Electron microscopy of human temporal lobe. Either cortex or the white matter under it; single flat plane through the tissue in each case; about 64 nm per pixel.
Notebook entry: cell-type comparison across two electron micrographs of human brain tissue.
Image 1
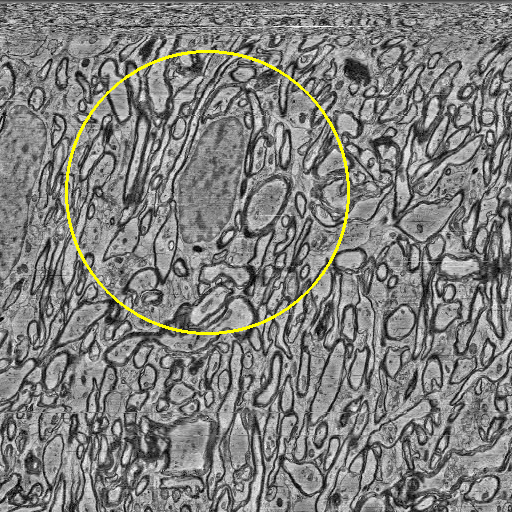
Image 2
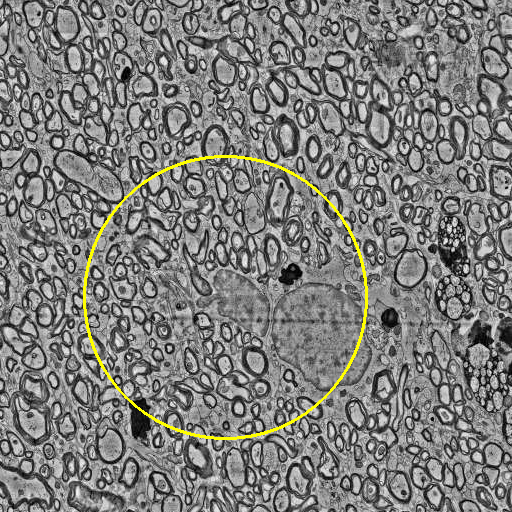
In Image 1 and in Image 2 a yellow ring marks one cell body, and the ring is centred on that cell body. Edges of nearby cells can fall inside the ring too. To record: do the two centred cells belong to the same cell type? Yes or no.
yes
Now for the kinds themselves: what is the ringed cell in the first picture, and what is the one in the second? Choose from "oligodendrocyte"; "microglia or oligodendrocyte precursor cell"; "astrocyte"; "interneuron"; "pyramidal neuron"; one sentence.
In each picture the ringed cell is an oligodendrocyte.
